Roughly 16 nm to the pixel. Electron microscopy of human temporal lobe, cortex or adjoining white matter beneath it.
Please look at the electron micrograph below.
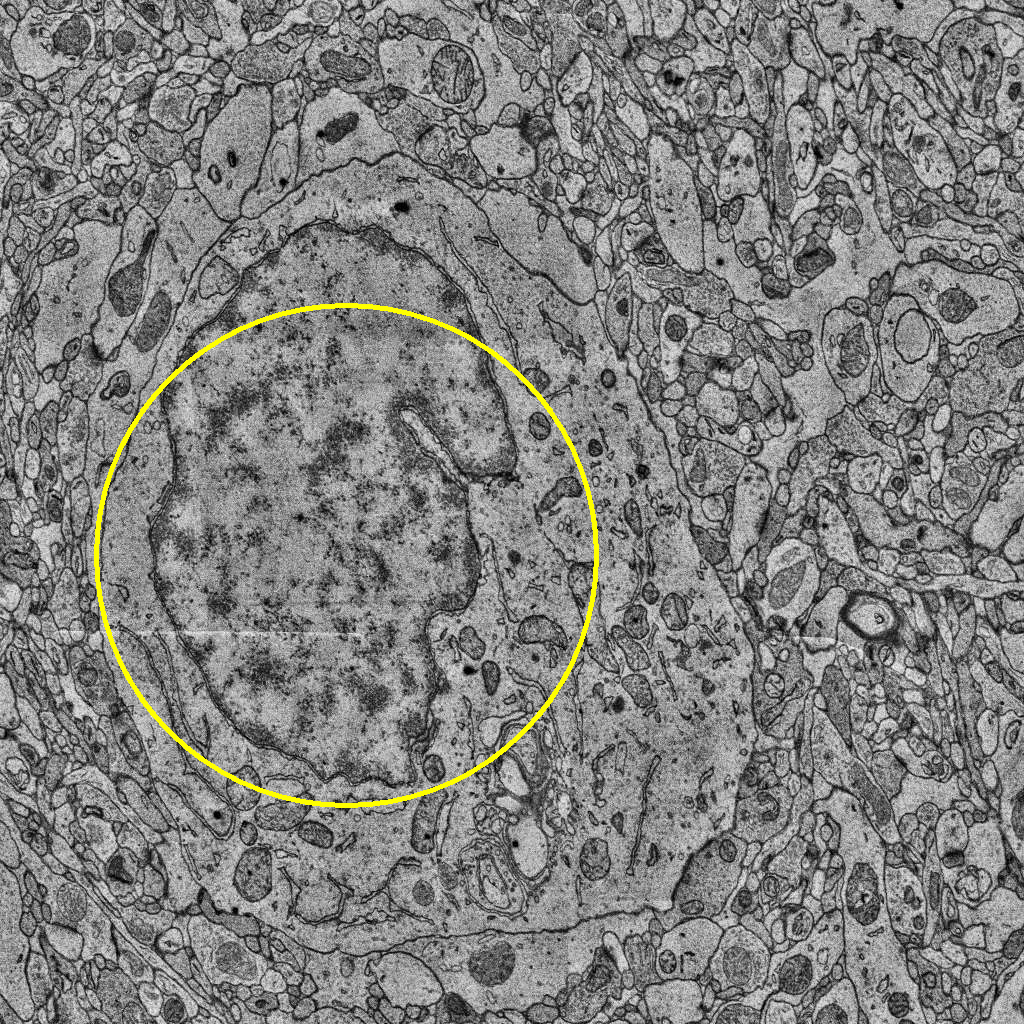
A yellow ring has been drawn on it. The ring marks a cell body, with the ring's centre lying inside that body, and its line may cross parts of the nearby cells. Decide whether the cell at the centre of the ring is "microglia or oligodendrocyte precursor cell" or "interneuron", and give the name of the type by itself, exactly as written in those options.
interneuron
